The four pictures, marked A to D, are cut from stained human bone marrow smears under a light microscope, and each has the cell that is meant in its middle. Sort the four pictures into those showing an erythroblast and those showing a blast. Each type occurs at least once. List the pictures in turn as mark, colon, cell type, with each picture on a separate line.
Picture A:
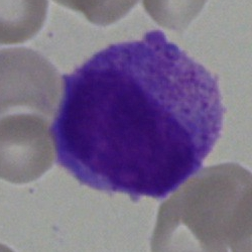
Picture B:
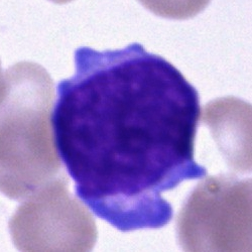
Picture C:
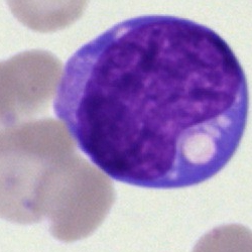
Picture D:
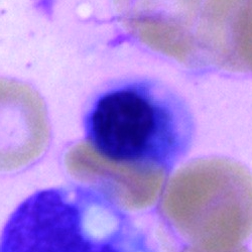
A: blast
B: blast
C: blast
D: erythroblast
